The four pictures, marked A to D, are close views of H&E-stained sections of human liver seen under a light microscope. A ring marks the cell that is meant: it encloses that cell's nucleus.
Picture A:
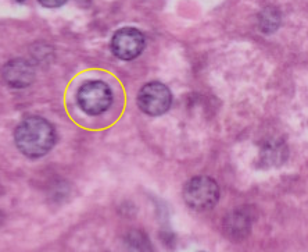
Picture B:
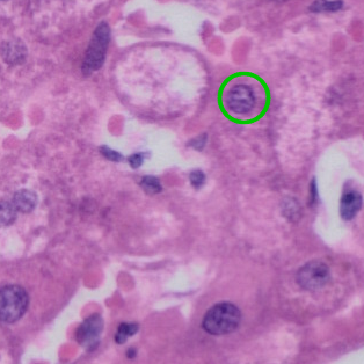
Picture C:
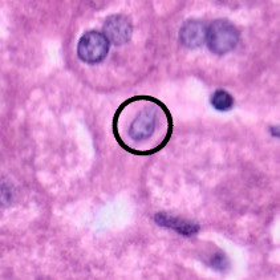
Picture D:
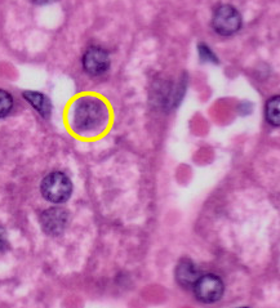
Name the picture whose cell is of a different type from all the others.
C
